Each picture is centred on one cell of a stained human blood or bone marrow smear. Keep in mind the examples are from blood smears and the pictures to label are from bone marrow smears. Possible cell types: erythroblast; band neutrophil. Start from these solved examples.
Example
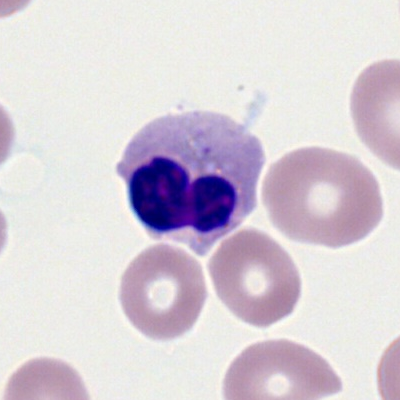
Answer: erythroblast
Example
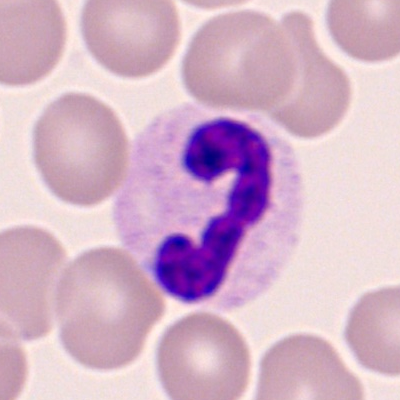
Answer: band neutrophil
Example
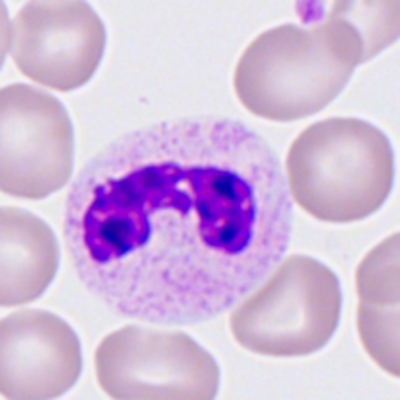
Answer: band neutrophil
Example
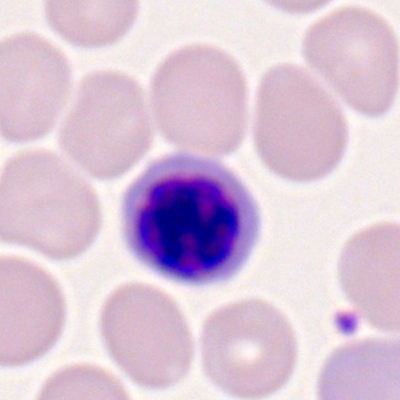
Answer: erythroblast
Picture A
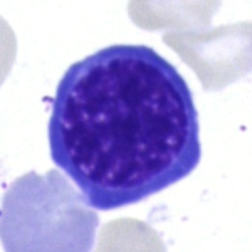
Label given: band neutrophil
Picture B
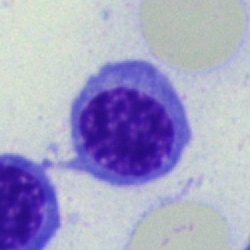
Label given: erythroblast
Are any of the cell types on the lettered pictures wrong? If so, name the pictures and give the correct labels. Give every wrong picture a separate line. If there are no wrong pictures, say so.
A: not band neutrophil but erythroblast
